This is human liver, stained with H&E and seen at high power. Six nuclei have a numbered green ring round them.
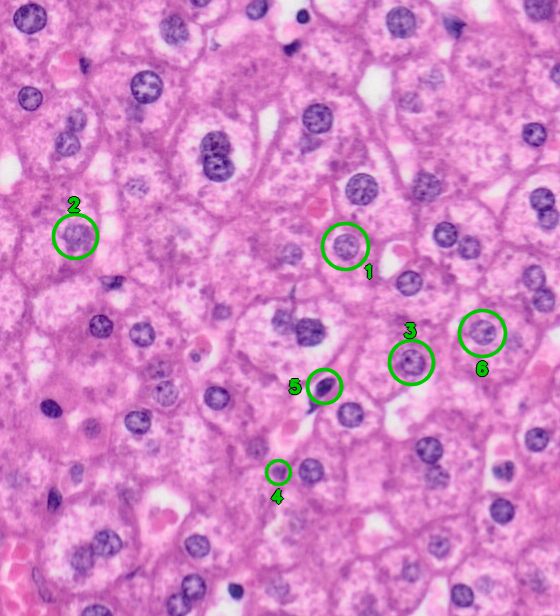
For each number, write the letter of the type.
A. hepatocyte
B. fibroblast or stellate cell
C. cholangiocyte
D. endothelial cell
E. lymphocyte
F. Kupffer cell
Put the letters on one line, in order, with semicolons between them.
A; A; A; B; E; A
